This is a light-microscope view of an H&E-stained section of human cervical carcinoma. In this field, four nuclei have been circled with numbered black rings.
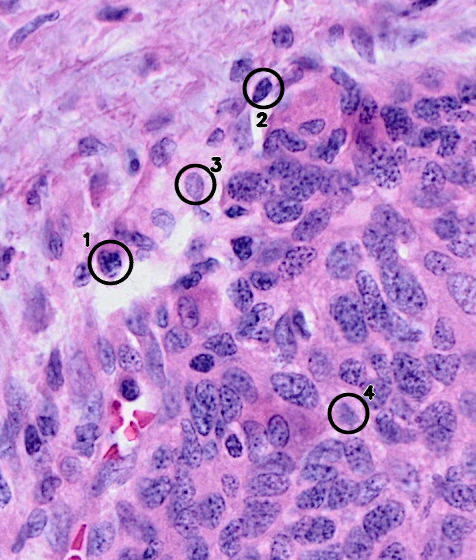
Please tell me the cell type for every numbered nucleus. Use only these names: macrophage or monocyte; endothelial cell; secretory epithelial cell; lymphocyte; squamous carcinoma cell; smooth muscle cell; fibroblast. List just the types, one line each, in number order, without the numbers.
lymphocyte
lymphocyte
macrophage or monocyte
squamous carcinoma cell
